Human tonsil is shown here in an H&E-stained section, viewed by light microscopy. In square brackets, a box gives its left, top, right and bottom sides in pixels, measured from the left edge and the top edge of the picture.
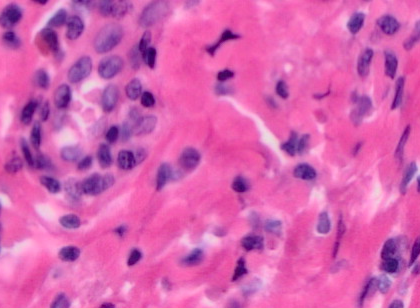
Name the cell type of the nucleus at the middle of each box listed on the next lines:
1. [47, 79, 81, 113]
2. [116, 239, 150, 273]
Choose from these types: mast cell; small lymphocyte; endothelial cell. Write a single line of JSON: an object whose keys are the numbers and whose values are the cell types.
{"1": "endothelial cell", "2": "mast cell"}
